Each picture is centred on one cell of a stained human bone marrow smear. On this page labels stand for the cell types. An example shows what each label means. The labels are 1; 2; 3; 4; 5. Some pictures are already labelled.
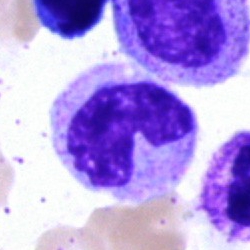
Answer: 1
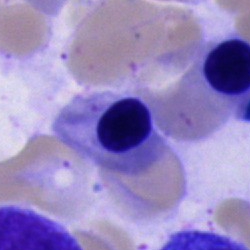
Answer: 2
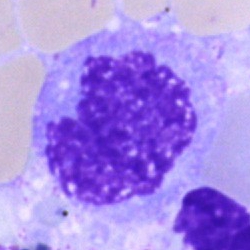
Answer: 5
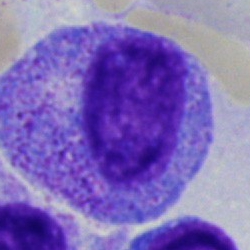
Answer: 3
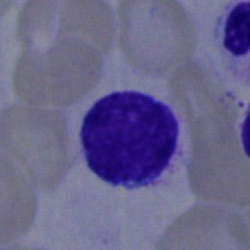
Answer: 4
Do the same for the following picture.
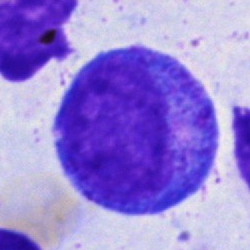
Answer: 3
